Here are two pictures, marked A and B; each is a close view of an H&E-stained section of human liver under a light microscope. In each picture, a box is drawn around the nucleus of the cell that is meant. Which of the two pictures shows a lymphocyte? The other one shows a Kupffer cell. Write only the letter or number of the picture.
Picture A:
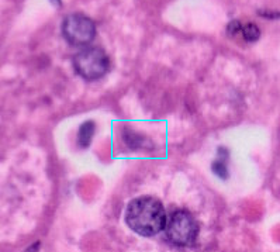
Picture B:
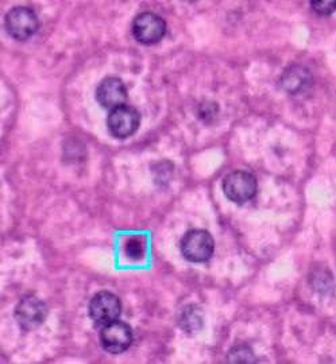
B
